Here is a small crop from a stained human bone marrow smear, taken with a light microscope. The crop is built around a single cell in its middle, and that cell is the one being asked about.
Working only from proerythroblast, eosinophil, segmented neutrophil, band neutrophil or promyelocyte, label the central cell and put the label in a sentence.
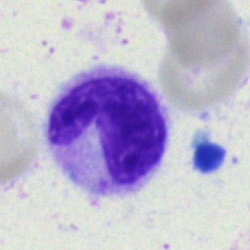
The cell at the middle of the crop is recognized as a band neutrophil.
